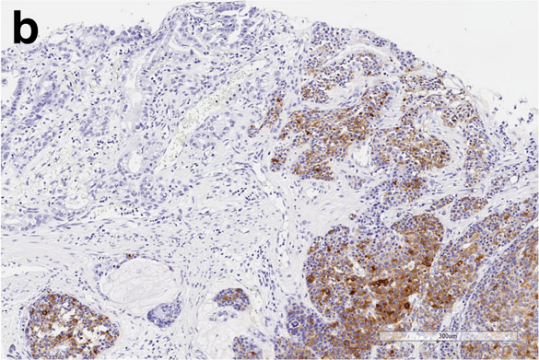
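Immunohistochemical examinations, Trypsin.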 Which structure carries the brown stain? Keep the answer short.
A: Solid component.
